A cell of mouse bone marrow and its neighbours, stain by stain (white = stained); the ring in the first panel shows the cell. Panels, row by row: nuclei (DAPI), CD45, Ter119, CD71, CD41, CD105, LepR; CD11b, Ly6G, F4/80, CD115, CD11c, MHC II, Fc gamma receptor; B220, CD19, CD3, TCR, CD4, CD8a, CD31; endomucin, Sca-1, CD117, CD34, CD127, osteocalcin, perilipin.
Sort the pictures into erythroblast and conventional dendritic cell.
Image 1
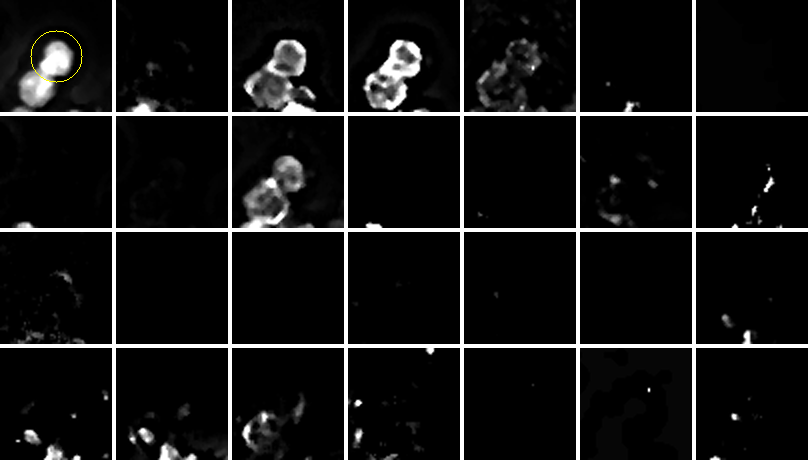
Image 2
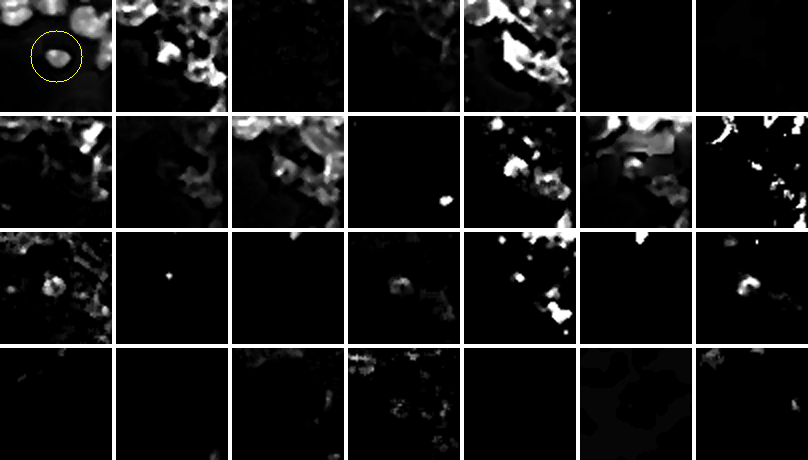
Erythroblasts: 1
Conventional dendritic cells: 2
